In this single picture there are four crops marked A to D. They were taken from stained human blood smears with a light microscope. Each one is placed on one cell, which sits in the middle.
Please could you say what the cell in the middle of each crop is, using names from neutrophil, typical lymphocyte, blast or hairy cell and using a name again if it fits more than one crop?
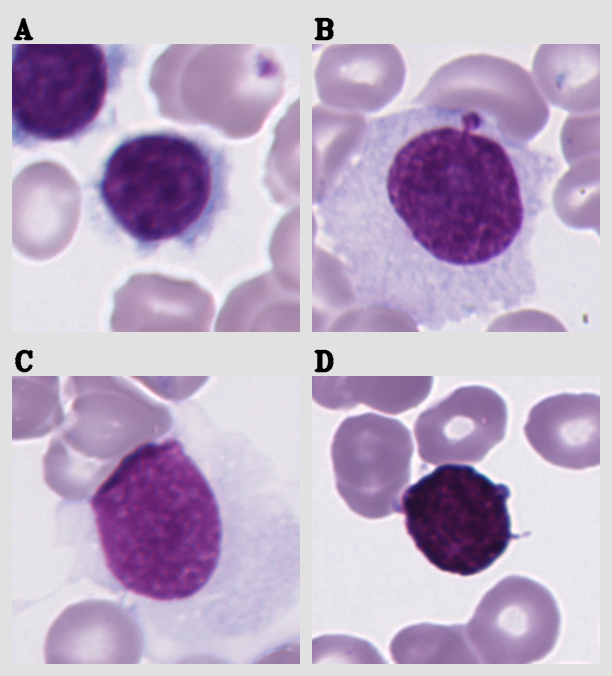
A: hairy cell
B: hairy cell
C: hairy cell
D: blast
